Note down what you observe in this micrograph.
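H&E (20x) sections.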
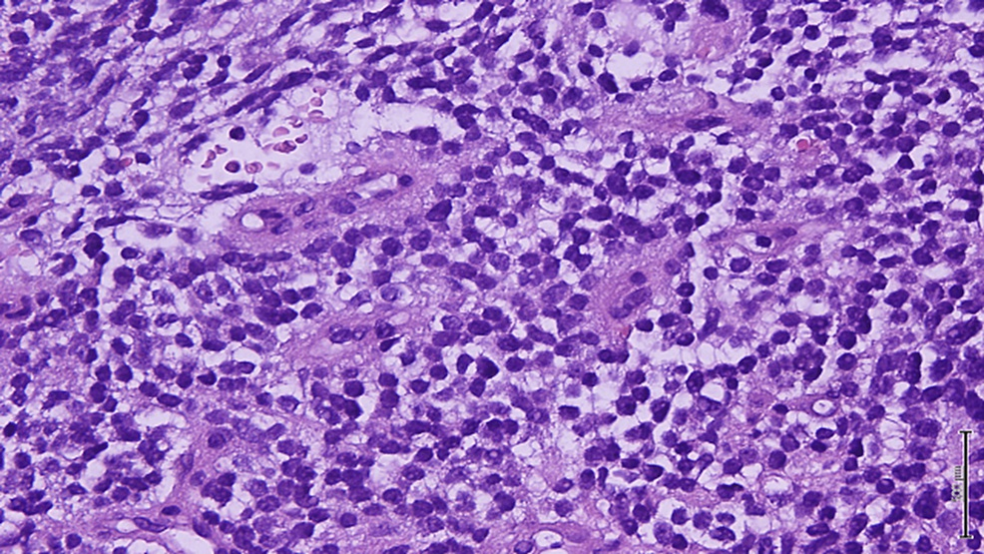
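This section shows a densely cellular growth of uniform small round cells arranged in diffuse sheets. Thin pink fibrillary strands and a few small vessels containing red blood cells run between the cells.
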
